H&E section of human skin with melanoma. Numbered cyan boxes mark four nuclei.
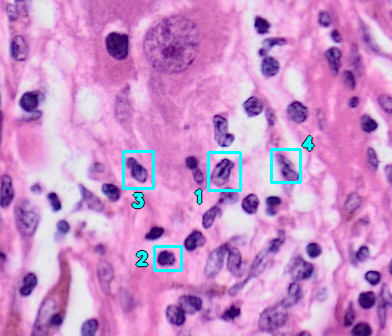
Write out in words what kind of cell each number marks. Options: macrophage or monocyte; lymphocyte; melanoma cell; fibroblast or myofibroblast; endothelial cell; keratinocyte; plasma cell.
Cell 1 is a lymphocyte, cell 2 is a lymphocyte, cell 3 is a lymphocyte and cell 4 is a macrophage or monocyte.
